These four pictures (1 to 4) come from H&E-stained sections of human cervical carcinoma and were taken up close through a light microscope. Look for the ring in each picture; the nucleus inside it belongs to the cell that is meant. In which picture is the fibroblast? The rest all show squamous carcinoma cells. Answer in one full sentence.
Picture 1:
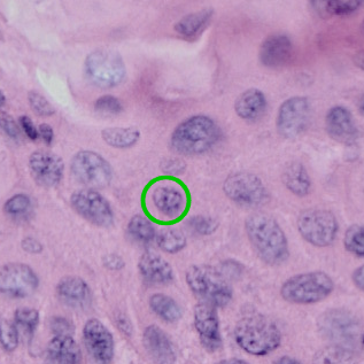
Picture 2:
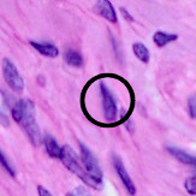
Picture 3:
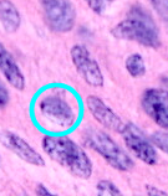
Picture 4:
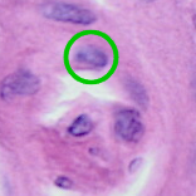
Picture 2 is the one that shows the fibroblast.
